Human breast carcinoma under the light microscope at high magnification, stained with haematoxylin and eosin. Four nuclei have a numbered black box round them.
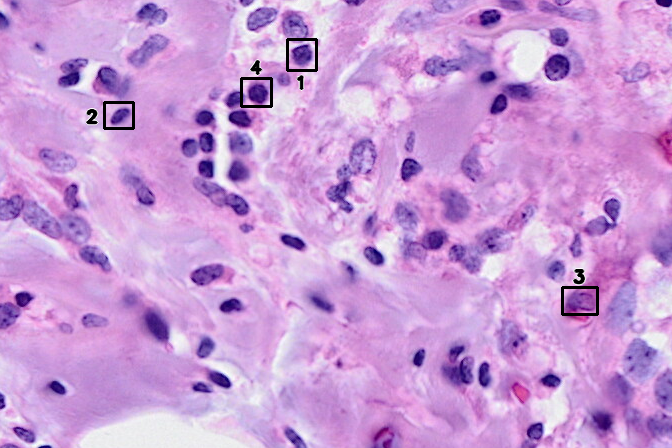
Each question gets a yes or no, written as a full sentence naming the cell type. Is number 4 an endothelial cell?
No, the one with number 4 is a lymphocyte, not an endothelial cell.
